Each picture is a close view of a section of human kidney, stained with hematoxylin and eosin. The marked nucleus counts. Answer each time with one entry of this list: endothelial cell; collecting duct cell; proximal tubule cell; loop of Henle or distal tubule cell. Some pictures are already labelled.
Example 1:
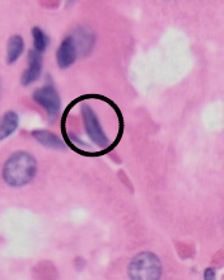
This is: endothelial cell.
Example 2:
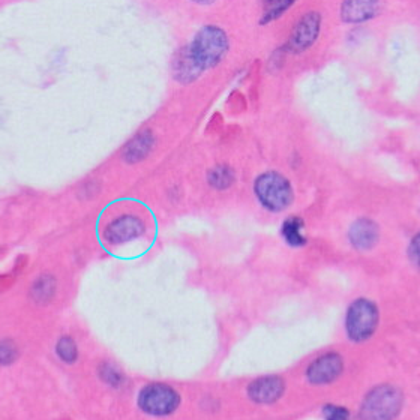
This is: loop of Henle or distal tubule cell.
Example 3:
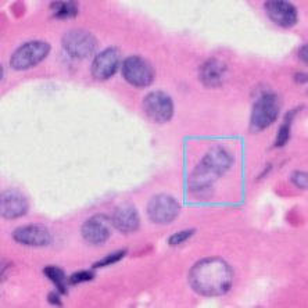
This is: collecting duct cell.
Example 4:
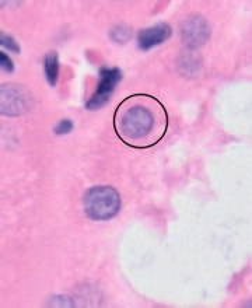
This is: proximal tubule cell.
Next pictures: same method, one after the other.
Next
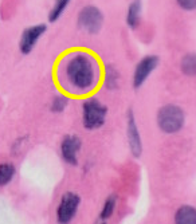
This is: loop of Henle or distal tubule cell.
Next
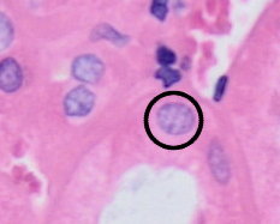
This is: proximal tubule cell.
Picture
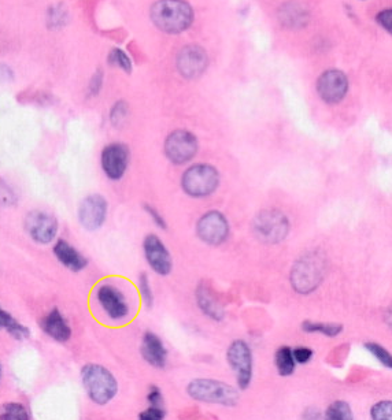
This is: collecting duct cell.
